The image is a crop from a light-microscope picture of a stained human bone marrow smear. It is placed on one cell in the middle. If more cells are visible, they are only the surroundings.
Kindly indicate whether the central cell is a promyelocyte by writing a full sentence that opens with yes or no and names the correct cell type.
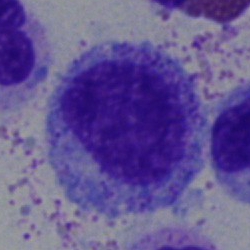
Yes, the cell at the centre of the field is a promyelocyte.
